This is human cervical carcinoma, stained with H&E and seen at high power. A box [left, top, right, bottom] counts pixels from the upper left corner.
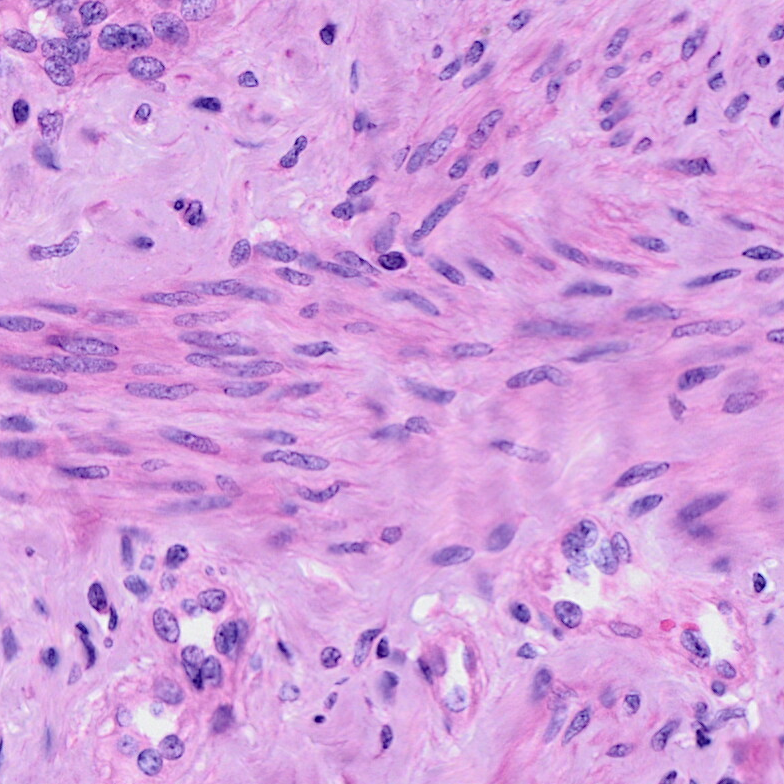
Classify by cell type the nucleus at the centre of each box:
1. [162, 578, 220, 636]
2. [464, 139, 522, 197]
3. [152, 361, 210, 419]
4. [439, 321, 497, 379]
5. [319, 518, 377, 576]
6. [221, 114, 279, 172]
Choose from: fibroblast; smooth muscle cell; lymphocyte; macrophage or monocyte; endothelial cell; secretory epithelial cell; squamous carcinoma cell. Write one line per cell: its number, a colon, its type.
1: endothelial cell
2: smooth muscle cell
3: smooth muscle cell
4: smooth muscle cell
5: fibroblast
6: fibroblast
